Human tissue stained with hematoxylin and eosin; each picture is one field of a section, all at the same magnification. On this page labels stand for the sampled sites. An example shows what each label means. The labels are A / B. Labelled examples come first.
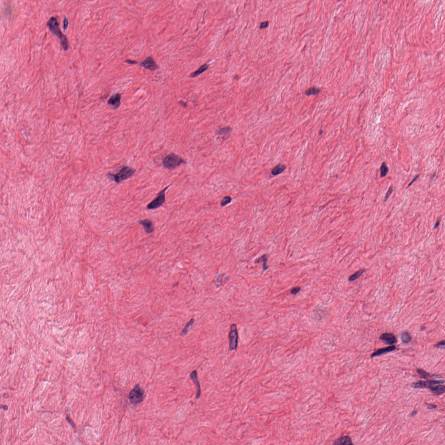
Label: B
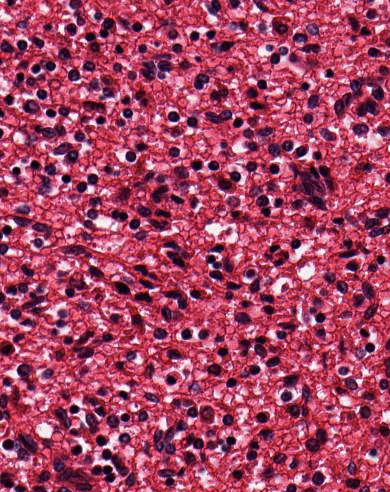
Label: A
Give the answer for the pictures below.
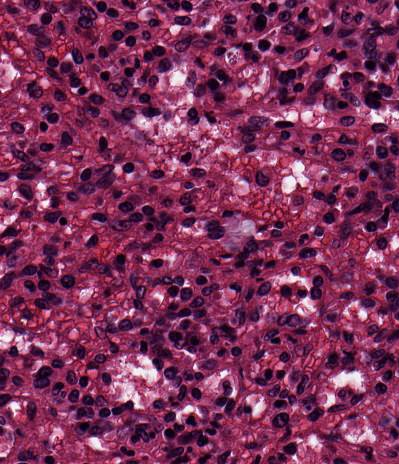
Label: A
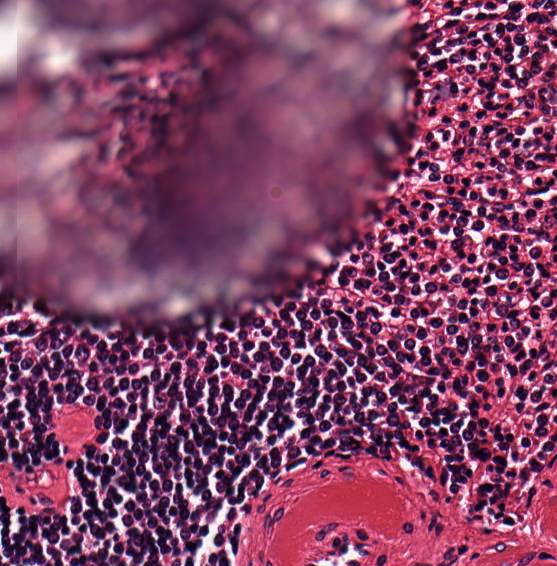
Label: A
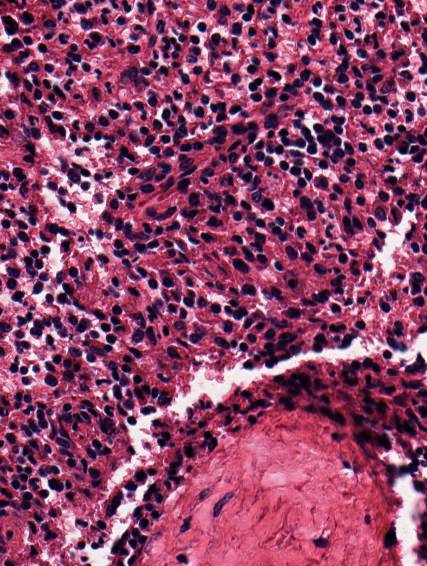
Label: A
